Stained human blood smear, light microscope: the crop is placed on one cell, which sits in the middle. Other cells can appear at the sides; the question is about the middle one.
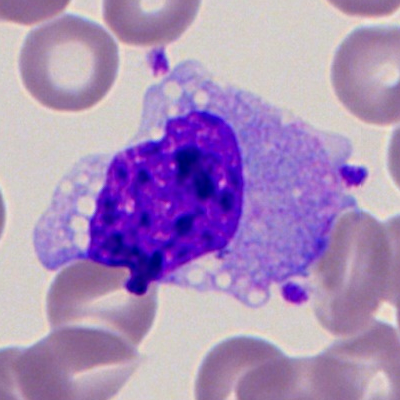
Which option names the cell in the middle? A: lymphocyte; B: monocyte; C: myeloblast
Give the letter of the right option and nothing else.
B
